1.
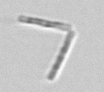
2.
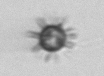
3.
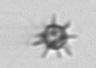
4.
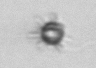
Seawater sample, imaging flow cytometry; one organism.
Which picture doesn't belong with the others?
Picture 1.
